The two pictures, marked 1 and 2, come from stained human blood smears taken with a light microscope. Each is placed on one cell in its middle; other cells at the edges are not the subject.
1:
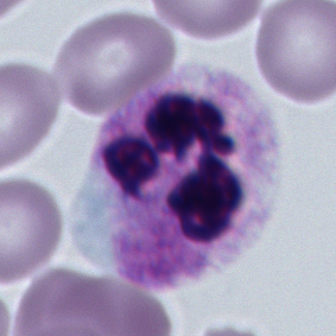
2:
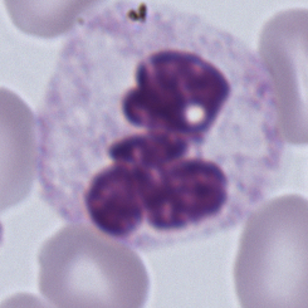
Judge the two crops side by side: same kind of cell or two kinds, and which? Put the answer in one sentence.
Yes, the central cells in both of the crops are segmented neutrophils.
